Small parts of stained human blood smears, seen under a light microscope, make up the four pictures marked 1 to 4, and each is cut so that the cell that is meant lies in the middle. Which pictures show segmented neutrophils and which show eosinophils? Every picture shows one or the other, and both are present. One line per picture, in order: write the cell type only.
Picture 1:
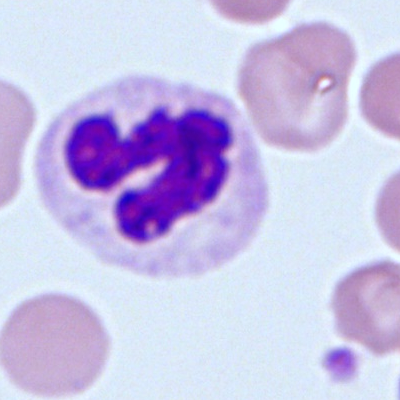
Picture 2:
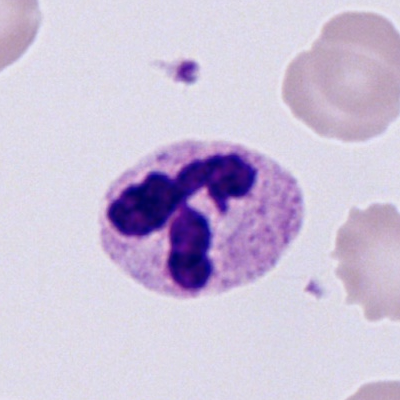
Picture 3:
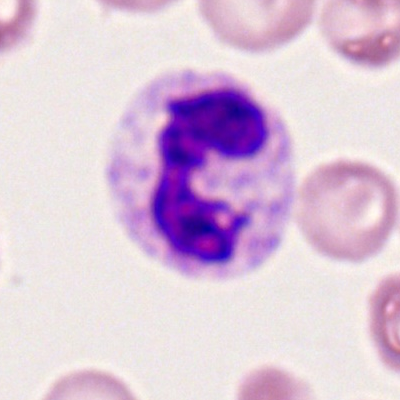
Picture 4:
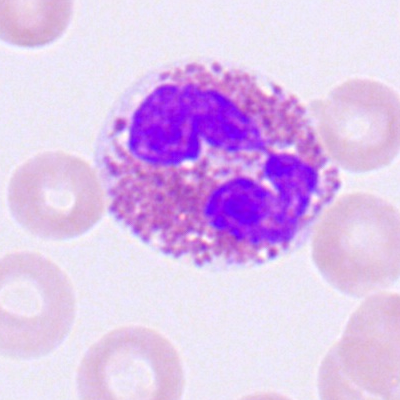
segmented neutrophil
segmented neutrophil
segmented neutrophil
eosinophil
